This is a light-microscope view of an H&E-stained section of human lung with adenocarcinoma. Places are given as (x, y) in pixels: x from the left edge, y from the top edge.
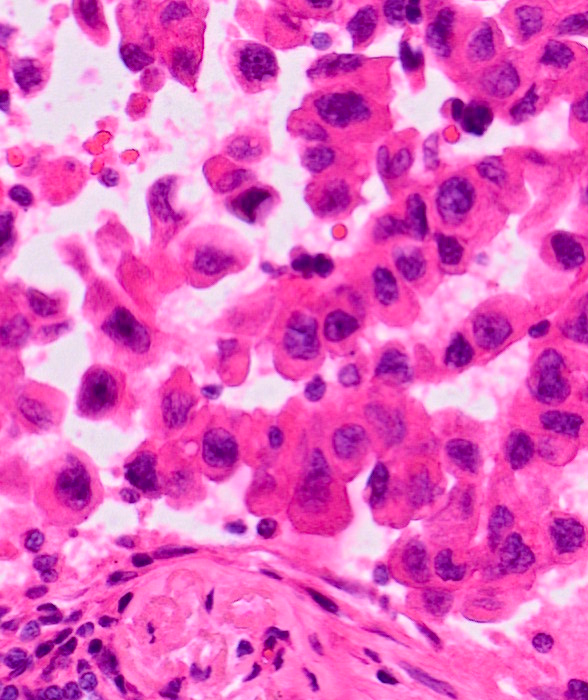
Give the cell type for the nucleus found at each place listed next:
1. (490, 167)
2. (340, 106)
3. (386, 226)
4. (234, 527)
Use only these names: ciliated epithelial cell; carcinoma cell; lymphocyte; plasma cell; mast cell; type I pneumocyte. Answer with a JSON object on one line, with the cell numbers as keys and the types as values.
{"1": "carcinoma cell", "2": "carcinoma cell", "3": "carcinoma cell", "4": "lymphocyte"}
